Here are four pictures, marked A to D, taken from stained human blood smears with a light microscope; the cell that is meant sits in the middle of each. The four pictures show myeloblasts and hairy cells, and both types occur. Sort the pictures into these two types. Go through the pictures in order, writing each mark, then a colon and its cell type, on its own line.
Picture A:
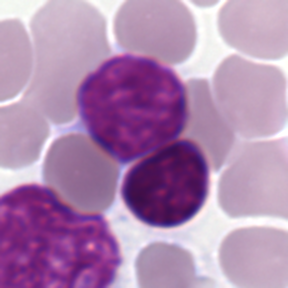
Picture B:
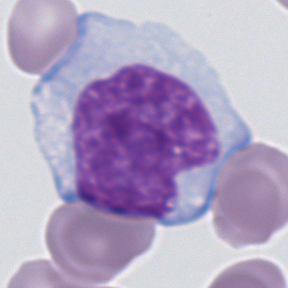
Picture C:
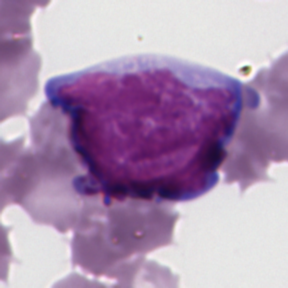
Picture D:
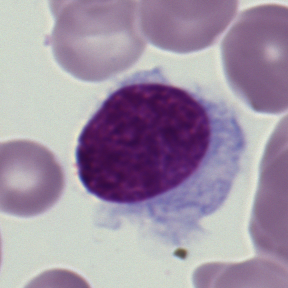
A: myeloblast
B: myeloblast
C: myeloblast
D: hairy cell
